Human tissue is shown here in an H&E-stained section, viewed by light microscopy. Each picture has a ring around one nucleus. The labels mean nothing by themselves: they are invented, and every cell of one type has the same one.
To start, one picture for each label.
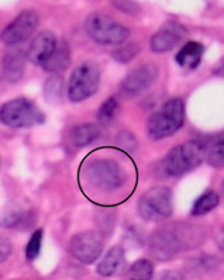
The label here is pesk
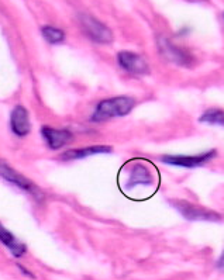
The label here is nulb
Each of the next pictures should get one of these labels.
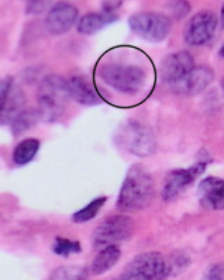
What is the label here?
pesk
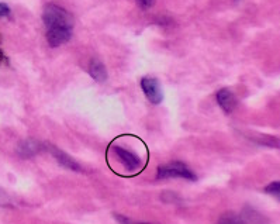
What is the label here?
nulb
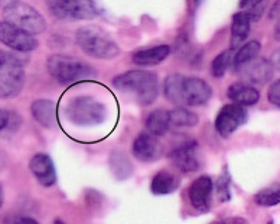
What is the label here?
pesk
